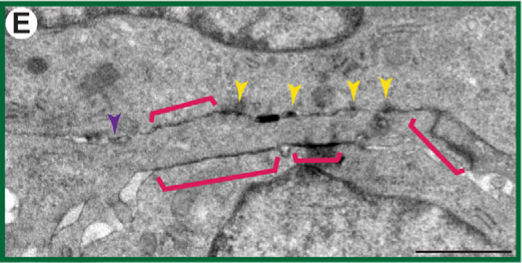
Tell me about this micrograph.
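Along the membranes there are long straight stretches where the membranes are darkened without any visible gap between them. Several small, very dark dots sit on the membrane, with dense material reaching into the neighbouring cytoplasm. The cytoplasm on either side is finely granular with scattered organelles, and small pale spaces open where the membranes diverge.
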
